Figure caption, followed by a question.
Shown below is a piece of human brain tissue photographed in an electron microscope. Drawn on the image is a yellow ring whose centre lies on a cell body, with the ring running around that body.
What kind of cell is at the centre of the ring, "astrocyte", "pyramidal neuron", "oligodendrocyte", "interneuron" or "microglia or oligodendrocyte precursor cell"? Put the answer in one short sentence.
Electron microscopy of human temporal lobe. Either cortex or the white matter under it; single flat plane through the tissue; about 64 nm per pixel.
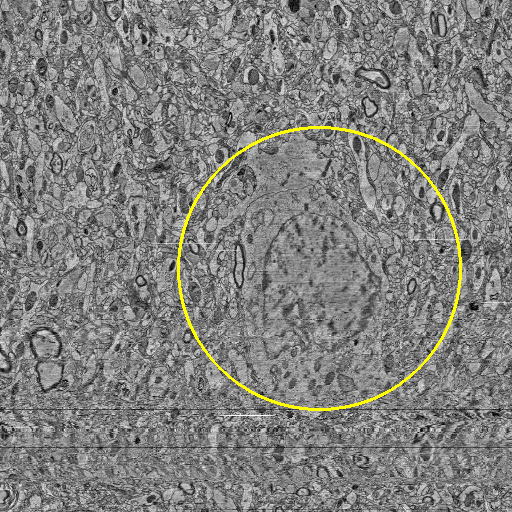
The ring marks the cell body of an interneuron.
